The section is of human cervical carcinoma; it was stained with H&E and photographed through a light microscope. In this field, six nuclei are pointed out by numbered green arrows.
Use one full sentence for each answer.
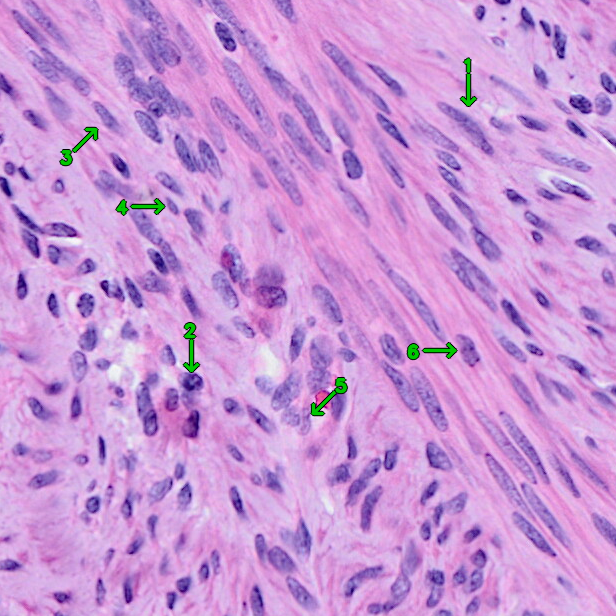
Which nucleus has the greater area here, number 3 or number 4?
Nucleus 3 is the larger one, covering about 3 times the area of nucleus 4.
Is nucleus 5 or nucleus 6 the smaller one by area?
Nucleus 5 is the smaller one; nucleus 6 covers about 1.5 times its area.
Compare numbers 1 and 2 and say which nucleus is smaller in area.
The smaller nucleus is 2, and 1 covers roughly 2 times its area.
